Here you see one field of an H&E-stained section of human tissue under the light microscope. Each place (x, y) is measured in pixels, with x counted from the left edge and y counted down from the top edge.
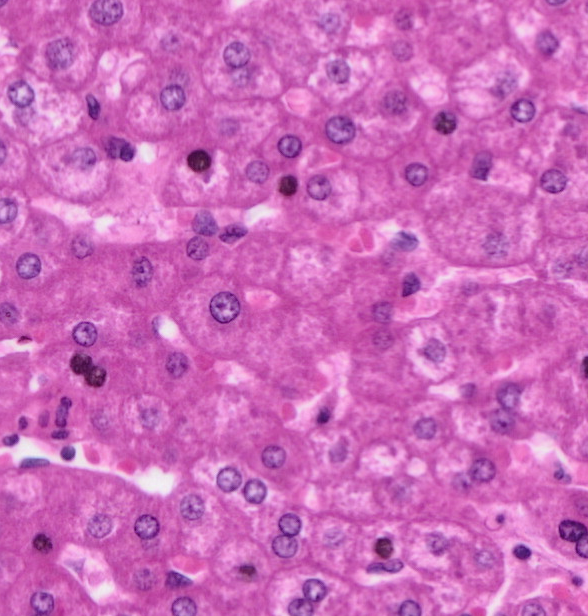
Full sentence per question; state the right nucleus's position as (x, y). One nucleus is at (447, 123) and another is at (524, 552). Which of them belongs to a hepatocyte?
The nucleus at (447, 123), rather than the other one, belongs to a hepatocyte.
